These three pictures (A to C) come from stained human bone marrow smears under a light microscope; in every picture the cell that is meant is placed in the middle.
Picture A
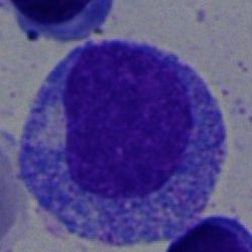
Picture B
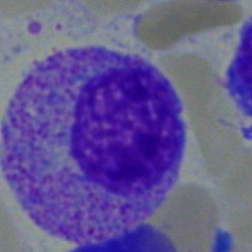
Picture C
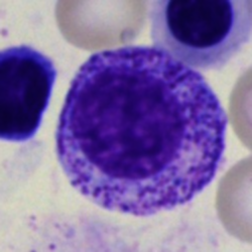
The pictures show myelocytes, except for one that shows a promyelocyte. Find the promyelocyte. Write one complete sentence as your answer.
Picture A is the one that shows the promyelocyte.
